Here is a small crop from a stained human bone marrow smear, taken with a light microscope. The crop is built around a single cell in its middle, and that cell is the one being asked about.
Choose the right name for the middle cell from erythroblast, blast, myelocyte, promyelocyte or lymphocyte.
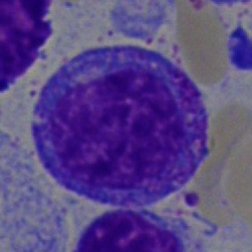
promyelocyte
